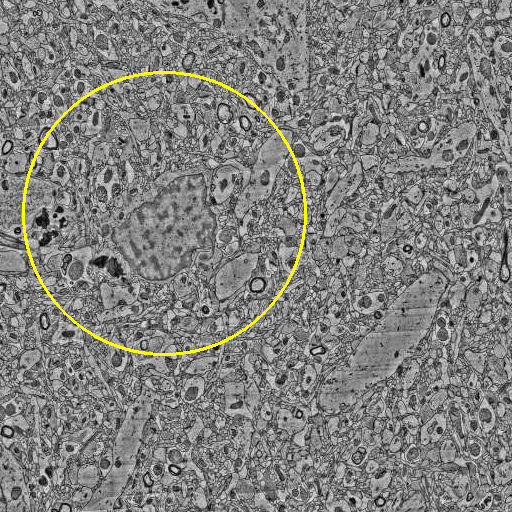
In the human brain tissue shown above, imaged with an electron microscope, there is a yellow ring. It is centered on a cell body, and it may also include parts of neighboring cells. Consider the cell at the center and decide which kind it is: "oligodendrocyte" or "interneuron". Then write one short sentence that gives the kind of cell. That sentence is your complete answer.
This centered cell body is that of an oligodendrocyte.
